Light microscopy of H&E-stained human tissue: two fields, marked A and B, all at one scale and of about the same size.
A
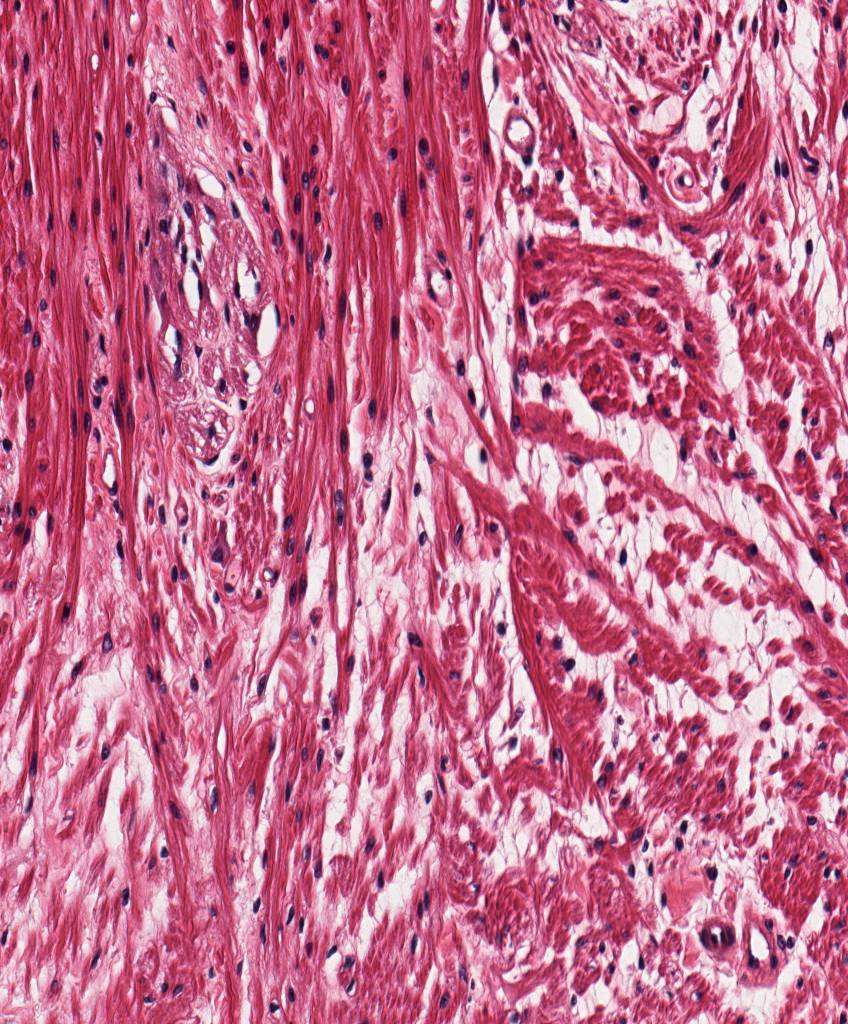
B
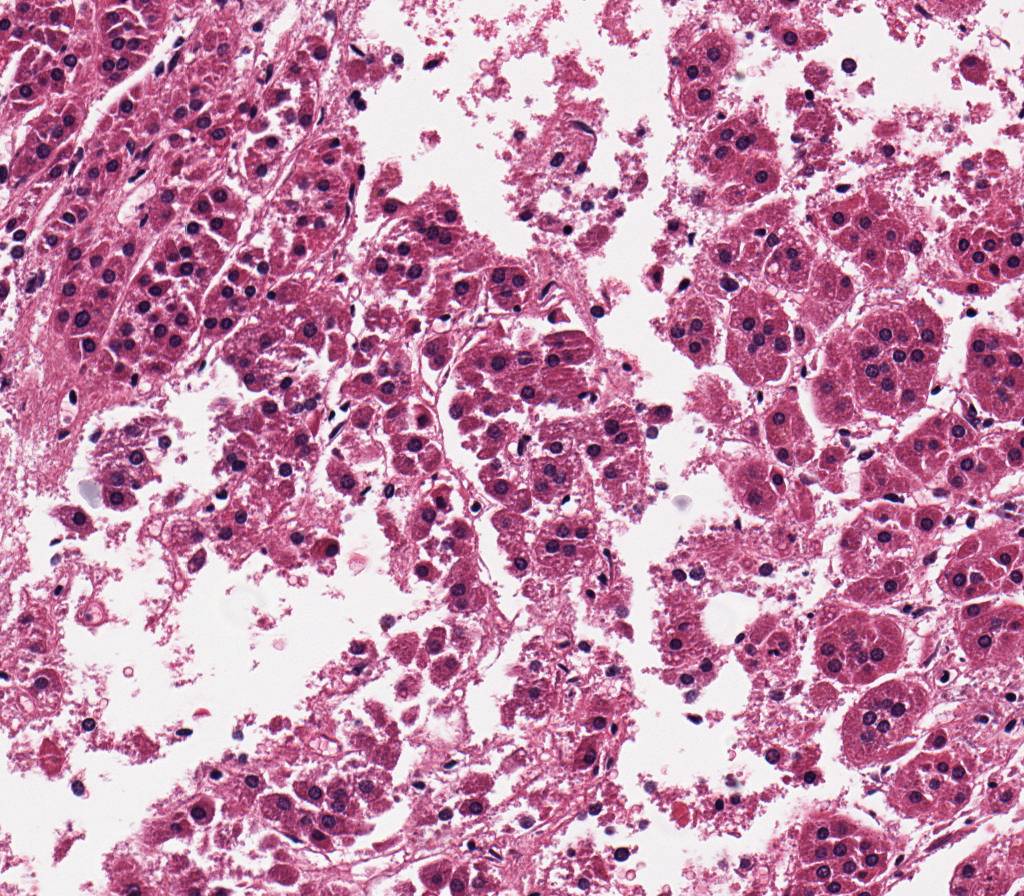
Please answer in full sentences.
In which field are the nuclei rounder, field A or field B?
Rounder nuclei lie in field B.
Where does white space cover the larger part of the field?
More of field B is empty and white.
